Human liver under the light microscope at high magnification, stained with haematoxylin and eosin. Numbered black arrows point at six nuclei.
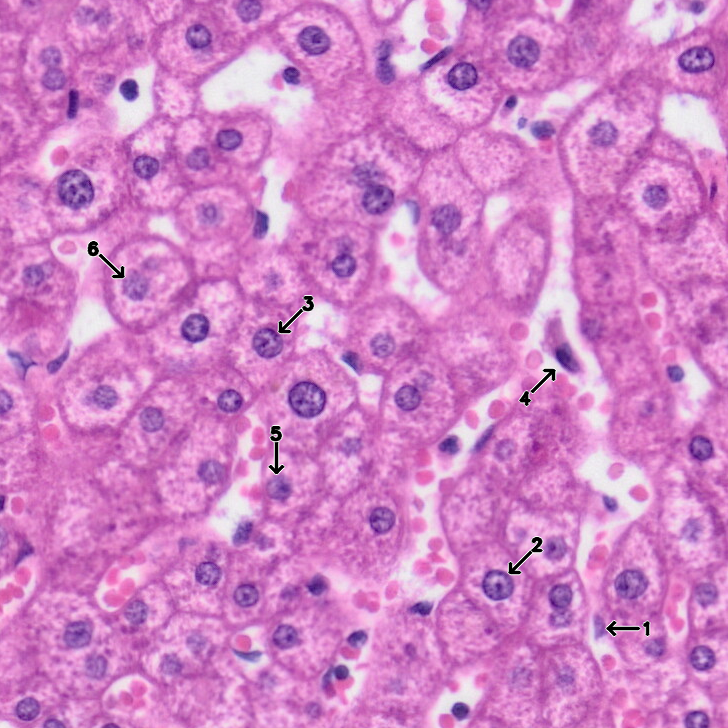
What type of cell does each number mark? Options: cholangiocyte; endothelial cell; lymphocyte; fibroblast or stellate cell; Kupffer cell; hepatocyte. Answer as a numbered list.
1. endothelial cell
2. hepatocyte
3. hepatocyte
4. Kupffer cell
5. hepatocyte
6. hepatocyte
